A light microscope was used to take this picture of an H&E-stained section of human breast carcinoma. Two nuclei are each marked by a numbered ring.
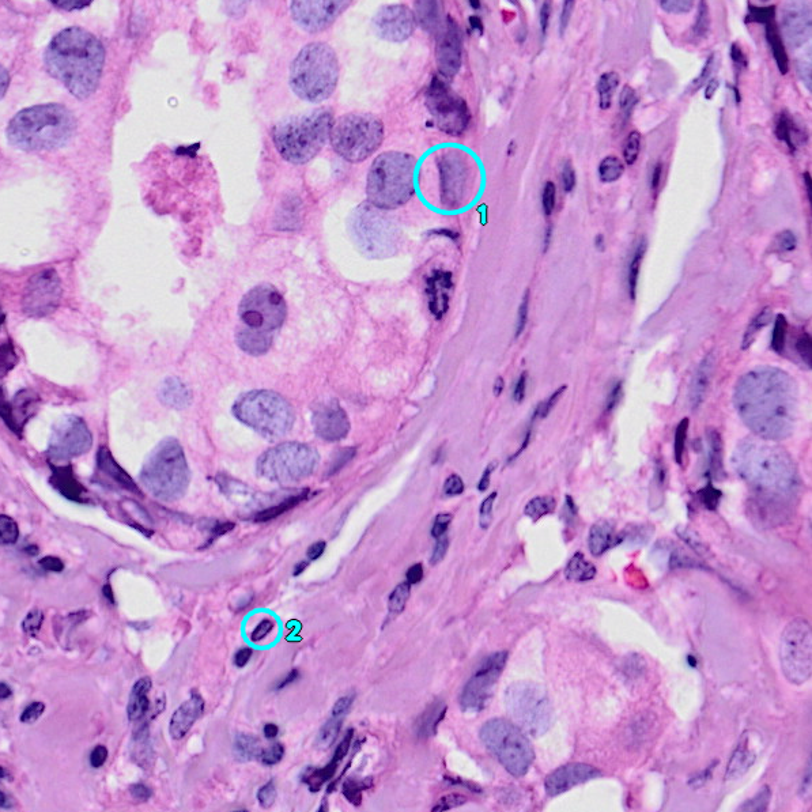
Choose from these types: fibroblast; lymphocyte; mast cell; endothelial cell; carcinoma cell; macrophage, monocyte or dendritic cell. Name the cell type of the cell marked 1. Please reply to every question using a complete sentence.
The cell numbered 1 has been identified as a carcinoma cell.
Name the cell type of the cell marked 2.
The nucleus labelled 2 belongs to a lymphocyte.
